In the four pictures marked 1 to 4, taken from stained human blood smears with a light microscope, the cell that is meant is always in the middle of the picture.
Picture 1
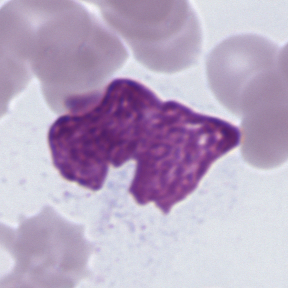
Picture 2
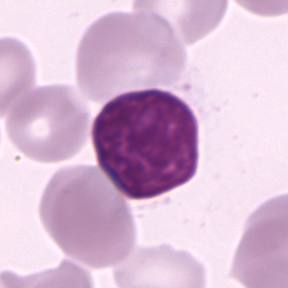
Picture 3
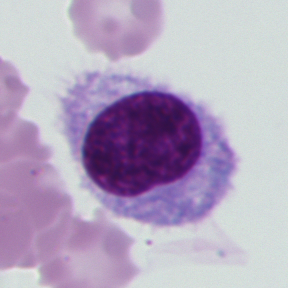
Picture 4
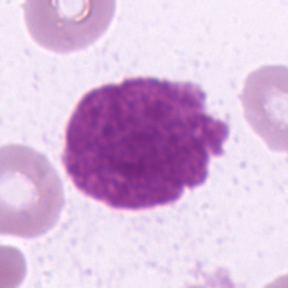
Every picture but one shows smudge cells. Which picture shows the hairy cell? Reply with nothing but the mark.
3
